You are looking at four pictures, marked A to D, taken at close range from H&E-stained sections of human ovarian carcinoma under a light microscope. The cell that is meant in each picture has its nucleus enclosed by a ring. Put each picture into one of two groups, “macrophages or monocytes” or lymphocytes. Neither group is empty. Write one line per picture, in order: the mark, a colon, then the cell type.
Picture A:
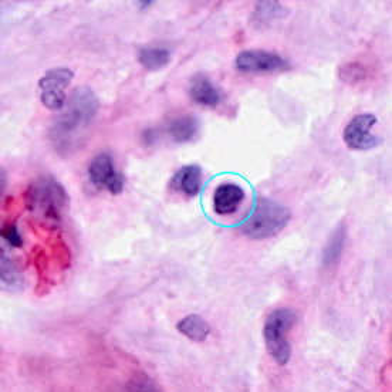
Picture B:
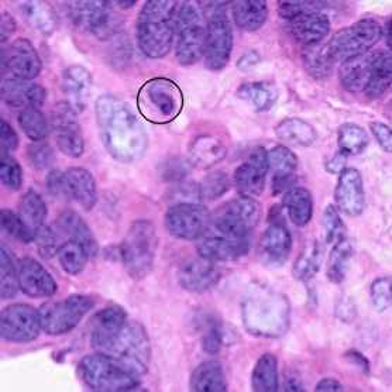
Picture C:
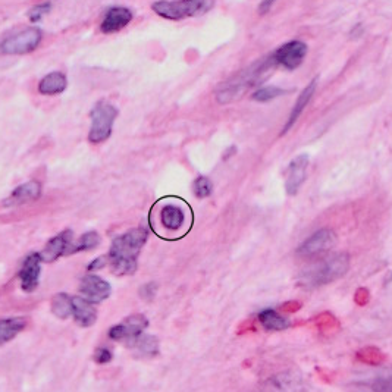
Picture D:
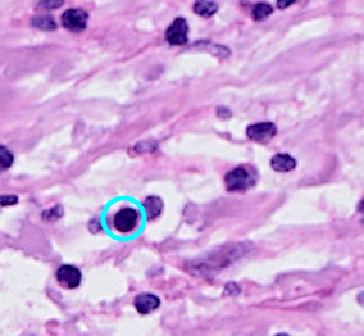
A: lymphocyte
B: macrophage or monocyte
C: lymphocyte
D: lymphocyte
